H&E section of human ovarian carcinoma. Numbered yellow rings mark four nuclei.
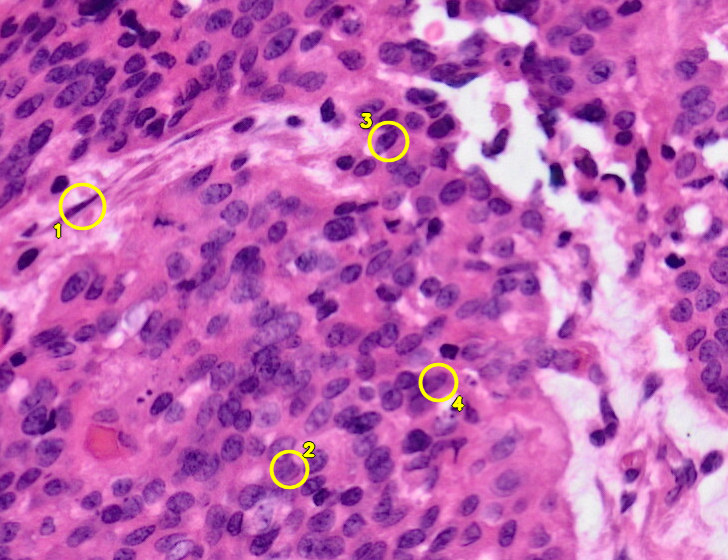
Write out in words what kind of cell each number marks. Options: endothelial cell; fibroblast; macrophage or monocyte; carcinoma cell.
Cell 1 is a fibroblast, cell 2 is a carcinoma cell, cell 3 is a carcinoma cell and cell 4 is a carcinoma cell.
